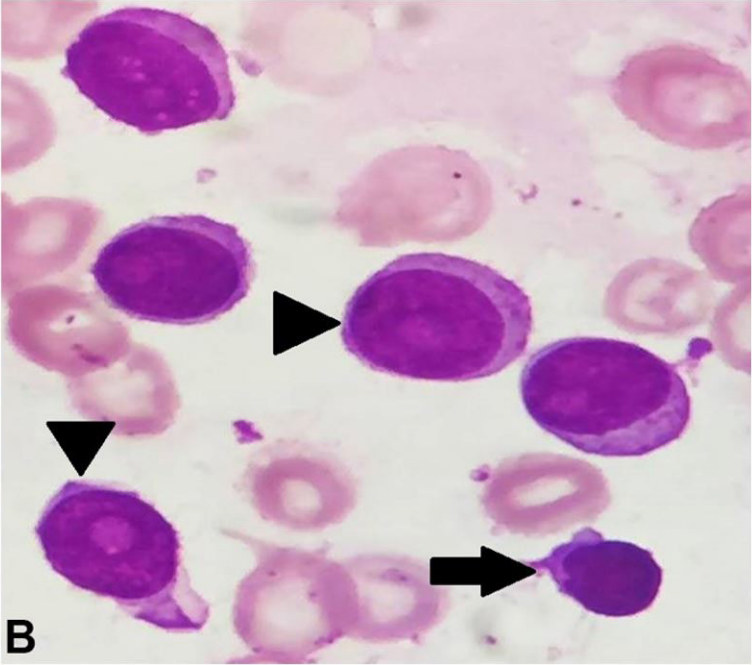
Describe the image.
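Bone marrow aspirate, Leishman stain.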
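Several large lymphoid cells lie among pale pink red cells. Together they form two populations of atypical lymphoid cells: larger prolymphocytes and a small lymphocyte.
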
